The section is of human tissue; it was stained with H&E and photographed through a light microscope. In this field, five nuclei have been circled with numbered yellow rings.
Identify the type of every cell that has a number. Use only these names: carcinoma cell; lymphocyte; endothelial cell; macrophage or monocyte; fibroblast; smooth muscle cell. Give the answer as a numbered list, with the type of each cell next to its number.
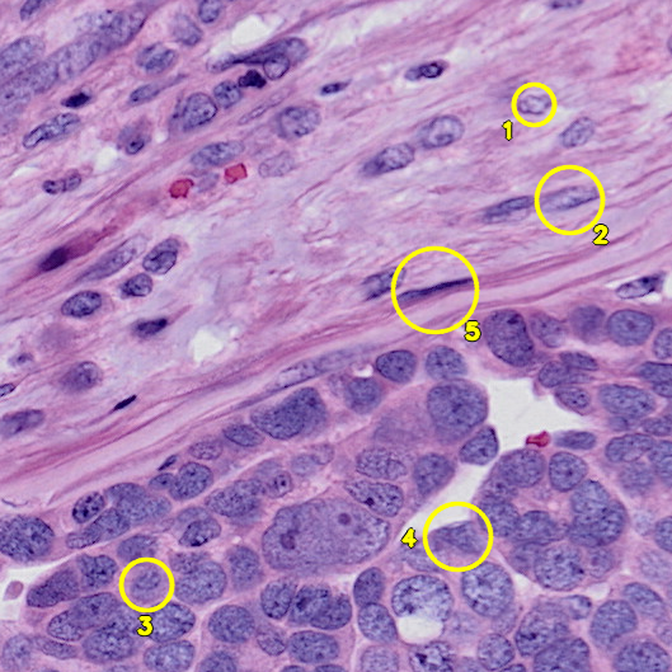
1. fibroblast
2. fibroblast
3. carcinoma cell
4. carcinoma cell
5. fibroblast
